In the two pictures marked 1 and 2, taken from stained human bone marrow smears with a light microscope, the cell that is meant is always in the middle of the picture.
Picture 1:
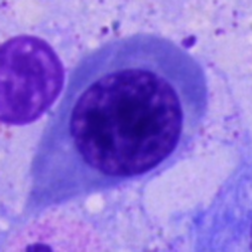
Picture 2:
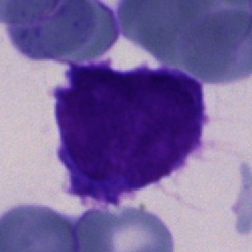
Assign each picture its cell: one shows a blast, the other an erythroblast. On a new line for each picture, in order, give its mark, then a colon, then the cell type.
1: erythroblast
2: blast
